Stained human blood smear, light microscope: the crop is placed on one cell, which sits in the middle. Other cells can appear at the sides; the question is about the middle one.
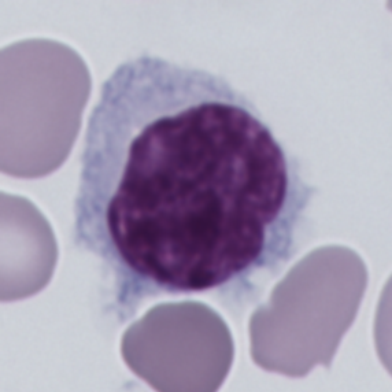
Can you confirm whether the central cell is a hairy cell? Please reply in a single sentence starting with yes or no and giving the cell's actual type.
Yes, the cell at the heart of the crop is a hairy cell.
